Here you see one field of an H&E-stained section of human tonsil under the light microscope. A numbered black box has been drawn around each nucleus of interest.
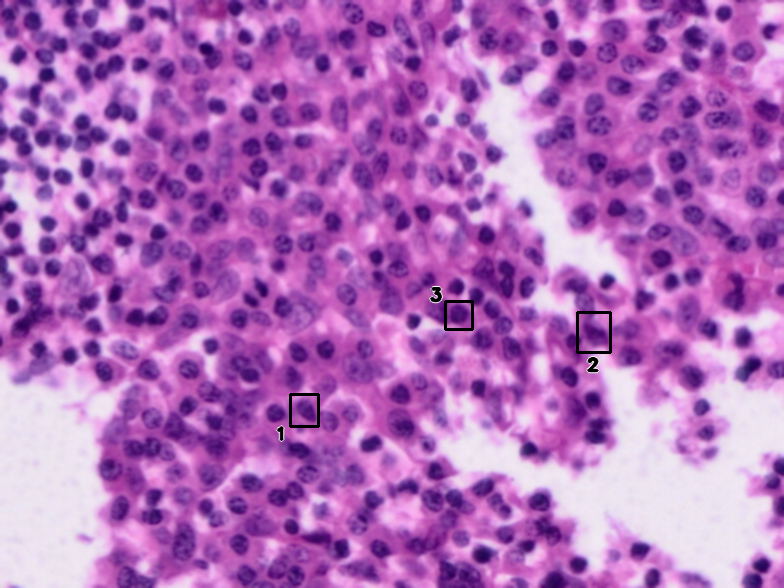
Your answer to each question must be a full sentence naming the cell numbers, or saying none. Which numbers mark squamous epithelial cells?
Of all the cells bearing numbers, cell 2 is the only one that is a squamous epithelial cell.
